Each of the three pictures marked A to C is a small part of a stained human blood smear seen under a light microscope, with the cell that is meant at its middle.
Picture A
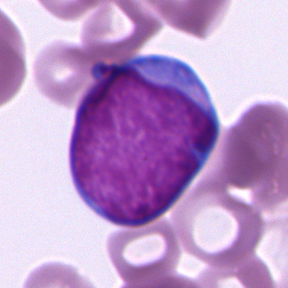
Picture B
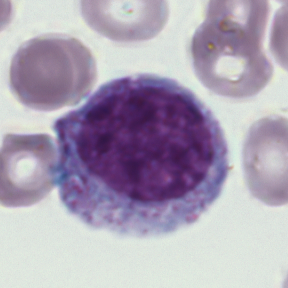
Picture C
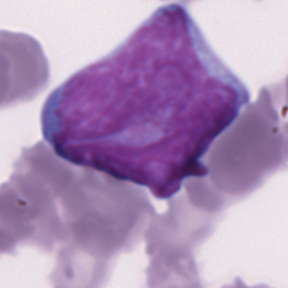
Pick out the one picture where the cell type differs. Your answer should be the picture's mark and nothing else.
B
